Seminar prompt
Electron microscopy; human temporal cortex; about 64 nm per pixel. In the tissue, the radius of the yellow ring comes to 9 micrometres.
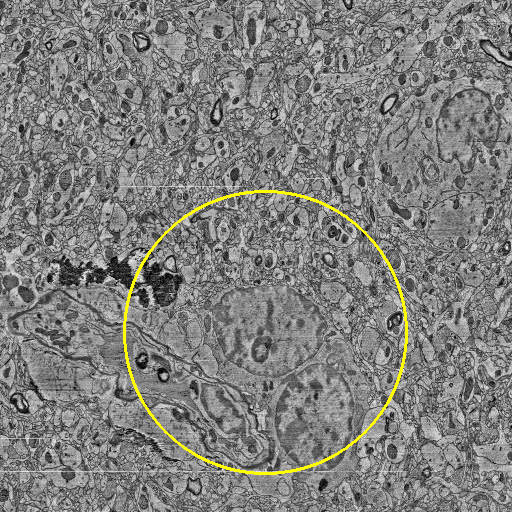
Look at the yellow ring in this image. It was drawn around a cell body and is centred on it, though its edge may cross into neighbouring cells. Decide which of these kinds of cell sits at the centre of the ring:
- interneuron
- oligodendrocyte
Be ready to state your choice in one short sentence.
The kind of cell at the ring's centre is an oligodendrocyte.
